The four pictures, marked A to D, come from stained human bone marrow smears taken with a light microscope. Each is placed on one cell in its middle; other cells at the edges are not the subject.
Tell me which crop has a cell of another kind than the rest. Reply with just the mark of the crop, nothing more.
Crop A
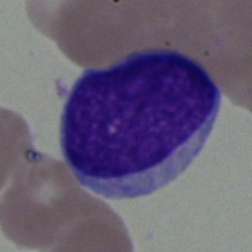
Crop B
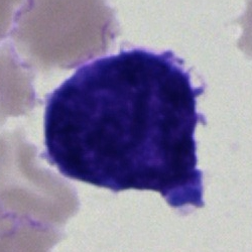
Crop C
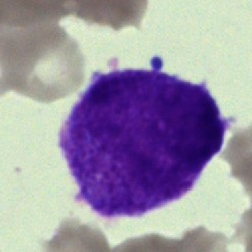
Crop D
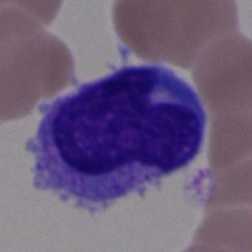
D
